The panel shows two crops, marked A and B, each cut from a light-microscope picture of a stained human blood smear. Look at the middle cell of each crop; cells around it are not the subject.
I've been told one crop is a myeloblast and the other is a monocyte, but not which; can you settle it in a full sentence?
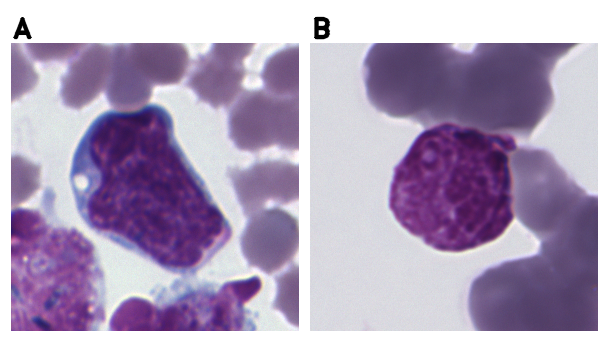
Okay, so crop A is a monocyte and crop B is a myeloblast.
